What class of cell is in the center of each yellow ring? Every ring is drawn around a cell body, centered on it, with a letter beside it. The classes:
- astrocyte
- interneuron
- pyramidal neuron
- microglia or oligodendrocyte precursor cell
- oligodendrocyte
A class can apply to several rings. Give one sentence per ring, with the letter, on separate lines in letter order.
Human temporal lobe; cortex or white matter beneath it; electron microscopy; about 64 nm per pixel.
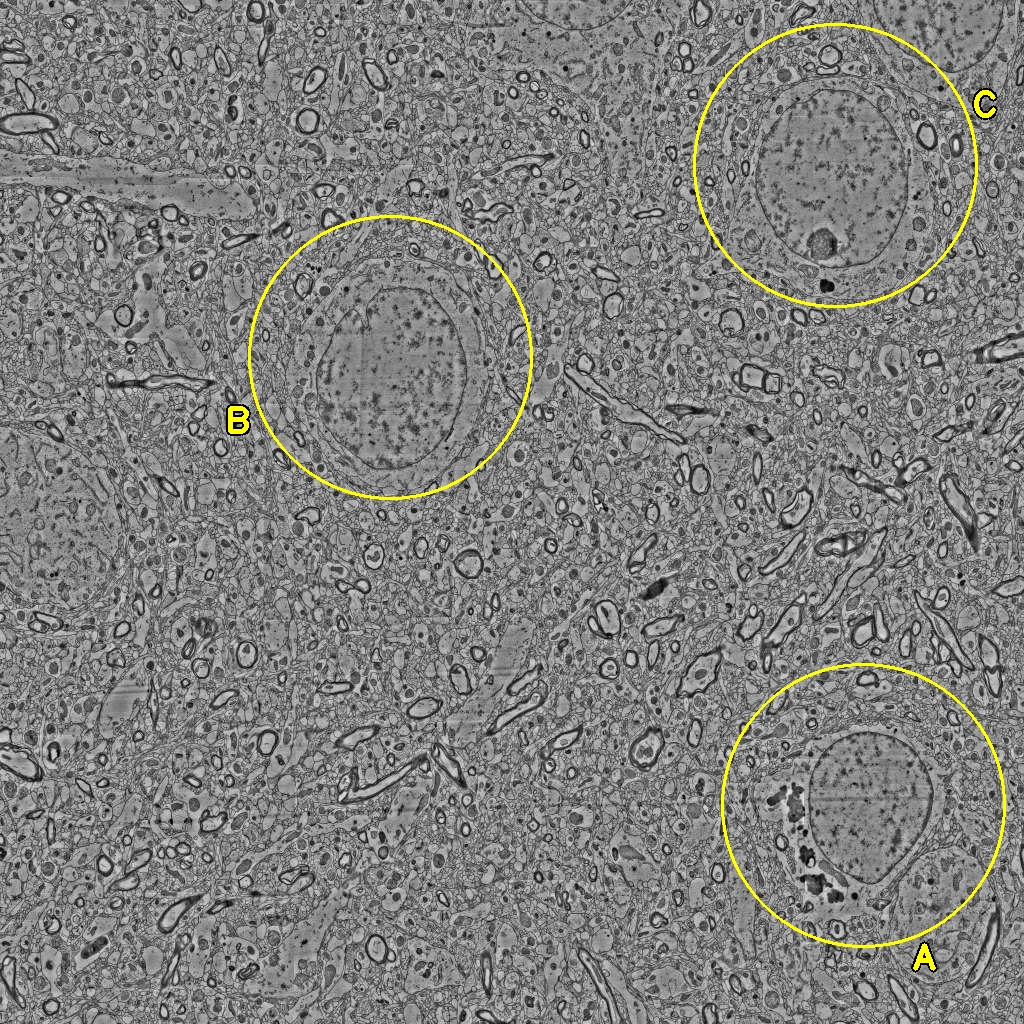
Ring A holds an astrocyte at its center.
Ring B holds a pyramidal neuron at its center.
Ring C holds a pyramidal neuron at its center.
